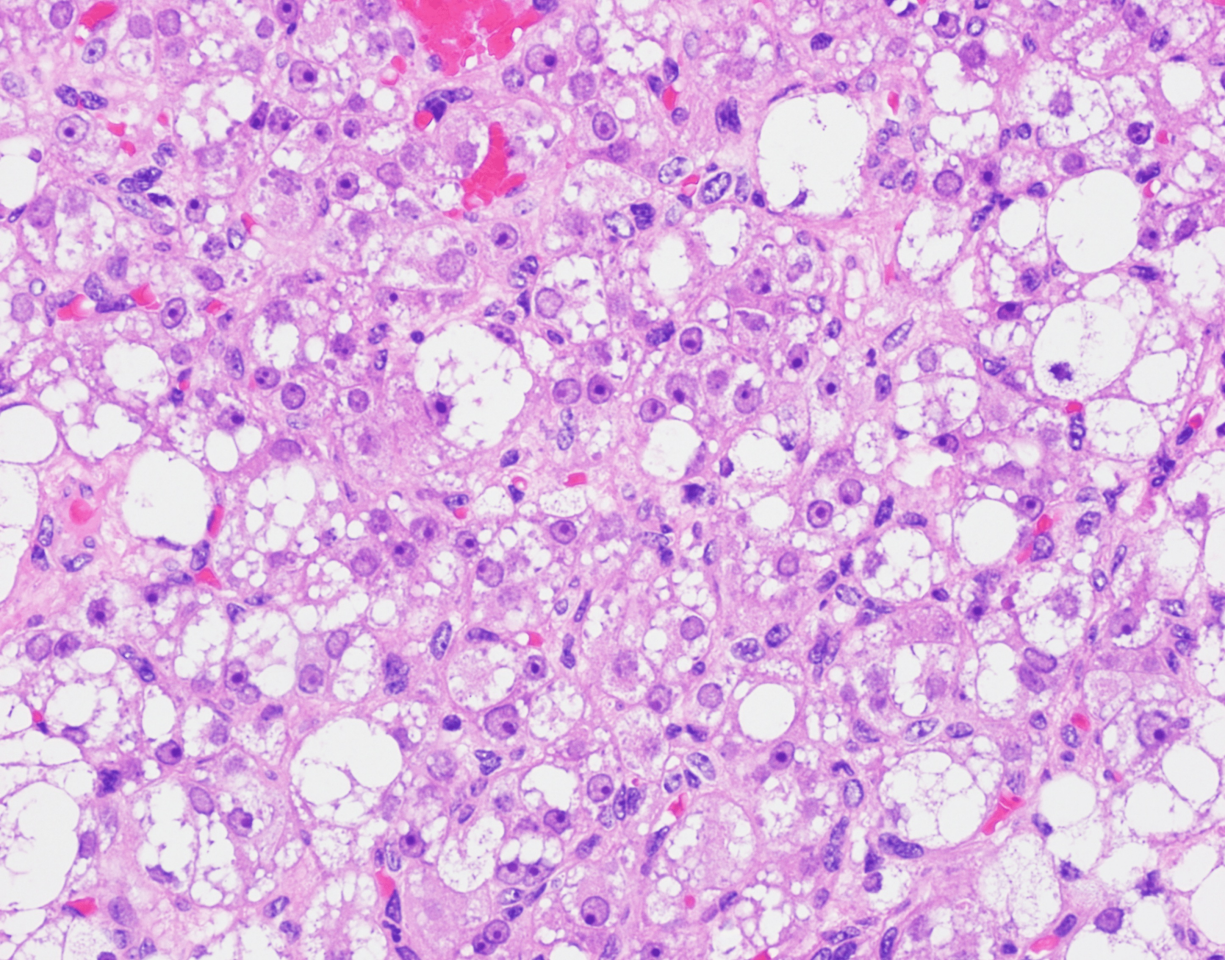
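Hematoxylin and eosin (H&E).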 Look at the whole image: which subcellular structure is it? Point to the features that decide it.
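Many round nuclei contain a distinct dark purple dot-like nucleolus. The nuclei are mostly round and centrally placed. That points to this answer: prominent nucleoli.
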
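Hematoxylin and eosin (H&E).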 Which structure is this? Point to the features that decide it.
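The cells form continuous sheets across the whole field. No glands or organised tissue layers are seen. Thin capillaries with red blood cells run between the cells. On this evidence: diffuse growth.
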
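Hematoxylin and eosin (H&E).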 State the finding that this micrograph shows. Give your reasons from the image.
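Most cells have pale, bubbly cytoplasm filled with many small clear vacuoles. Some cells hold one or a few large clear vacuoles. Other cells have pale pink, finely granular cytoplasm.
Conclusion: clear to vacuolated tumor cells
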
